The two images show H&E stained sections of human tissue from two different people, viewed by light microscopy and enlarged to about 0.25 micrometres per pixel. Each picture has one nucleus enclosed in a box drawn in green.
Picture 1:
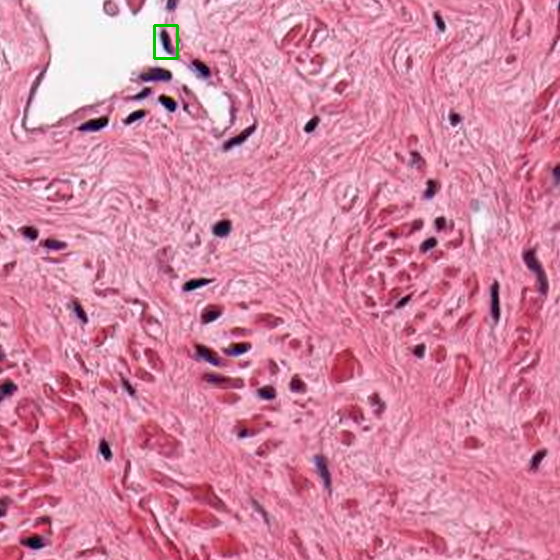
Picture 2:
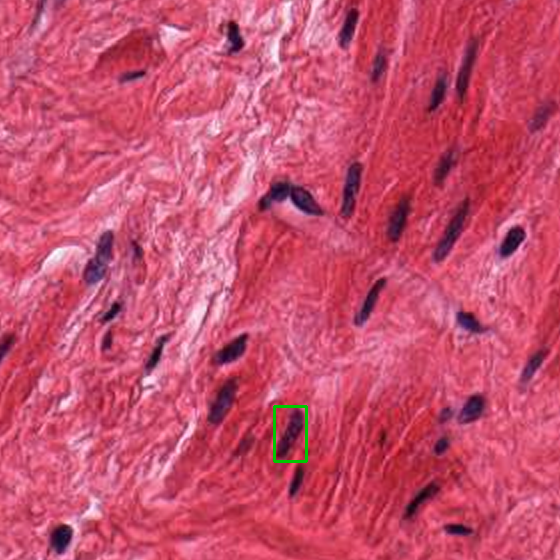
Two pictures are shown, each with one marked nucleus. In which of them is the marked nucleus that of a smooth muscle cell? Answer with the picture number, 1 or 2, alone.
2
